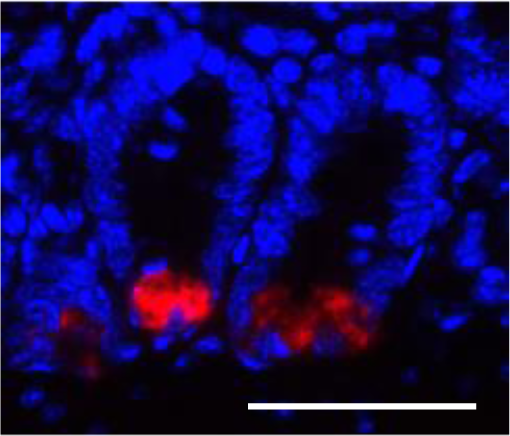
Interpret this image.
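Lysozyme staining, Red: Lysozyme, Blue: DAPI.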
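Intestinal crypts cut lengthwise, lined by columnar epithelium with blue-stained nuclei arranged around a dark lumen. At the rounded bottom of each crypt sits a small cluster of Paneth cells whose cytoplasm is filled with bright red granular material. The red cells are packed together at the crypt base, while the epithelium higher in the crypts shows only blue nuclei. Surrounding stroma between crypts contains scattered blue nuclei.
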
